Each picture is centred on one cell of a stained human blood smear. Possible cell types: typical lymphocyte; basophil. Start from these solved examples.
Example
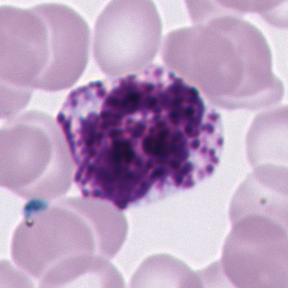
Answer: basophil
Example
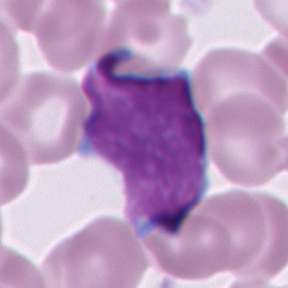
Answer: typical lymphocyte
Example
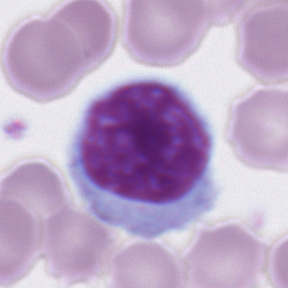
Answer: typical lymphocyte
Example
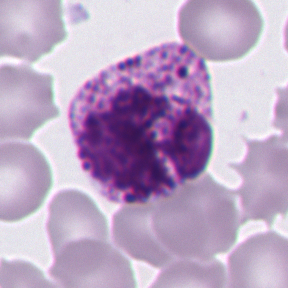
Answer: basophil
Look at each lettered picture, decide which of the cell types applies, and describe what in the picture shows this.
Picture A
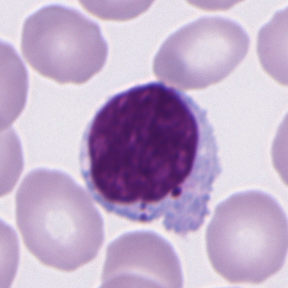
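typical lymphocyte. Reason: A few small dark purple granules lie in the cytoplasm just below the nucleus.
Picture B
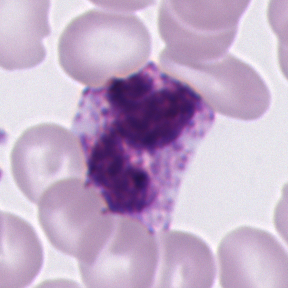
basophil. Reason: The nucleus appears as two large connected masses, one upper right and one lower left.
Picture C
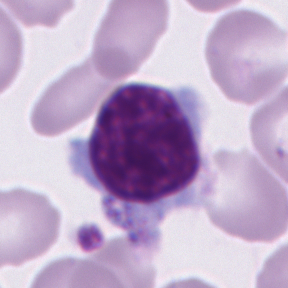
typical lymphocyte. Reason: A patch of fine purple dots lies just below the nucleus.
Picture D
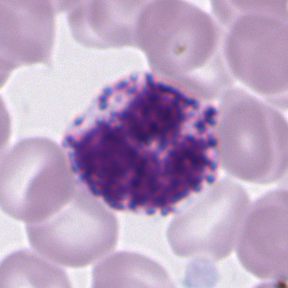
basophil. Reason: Coarse dark blue-violet granules lie over the nucleus as well as the cytoplasm.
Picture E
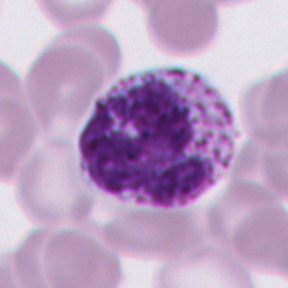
basophil. Reason: Coarse dark purple granules are scattered through the cytoplasm.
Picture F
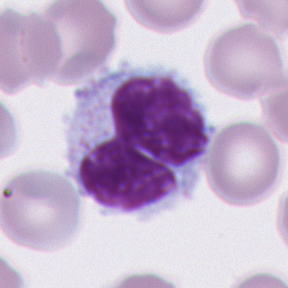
typical lymphocyte. Reason: The cytoplasm holds fine, scattered lilac-pink granules.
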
